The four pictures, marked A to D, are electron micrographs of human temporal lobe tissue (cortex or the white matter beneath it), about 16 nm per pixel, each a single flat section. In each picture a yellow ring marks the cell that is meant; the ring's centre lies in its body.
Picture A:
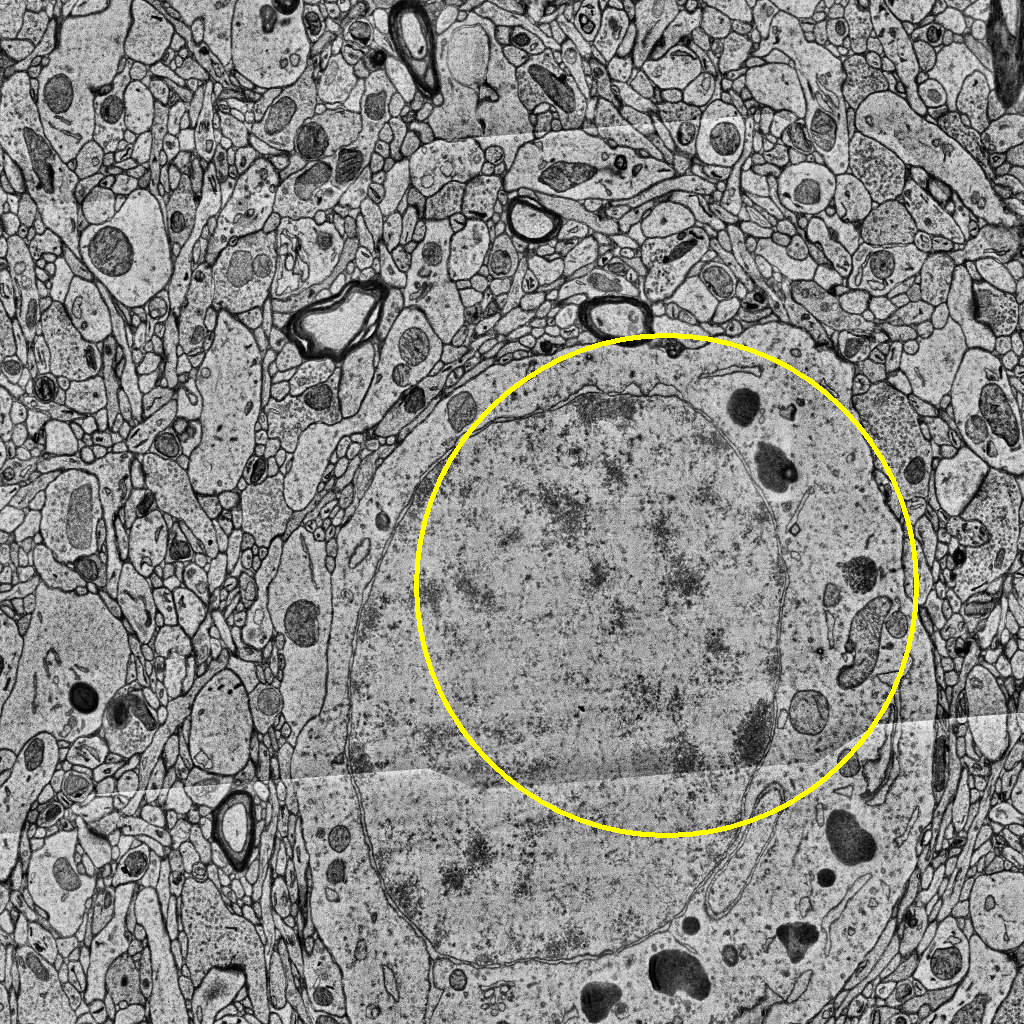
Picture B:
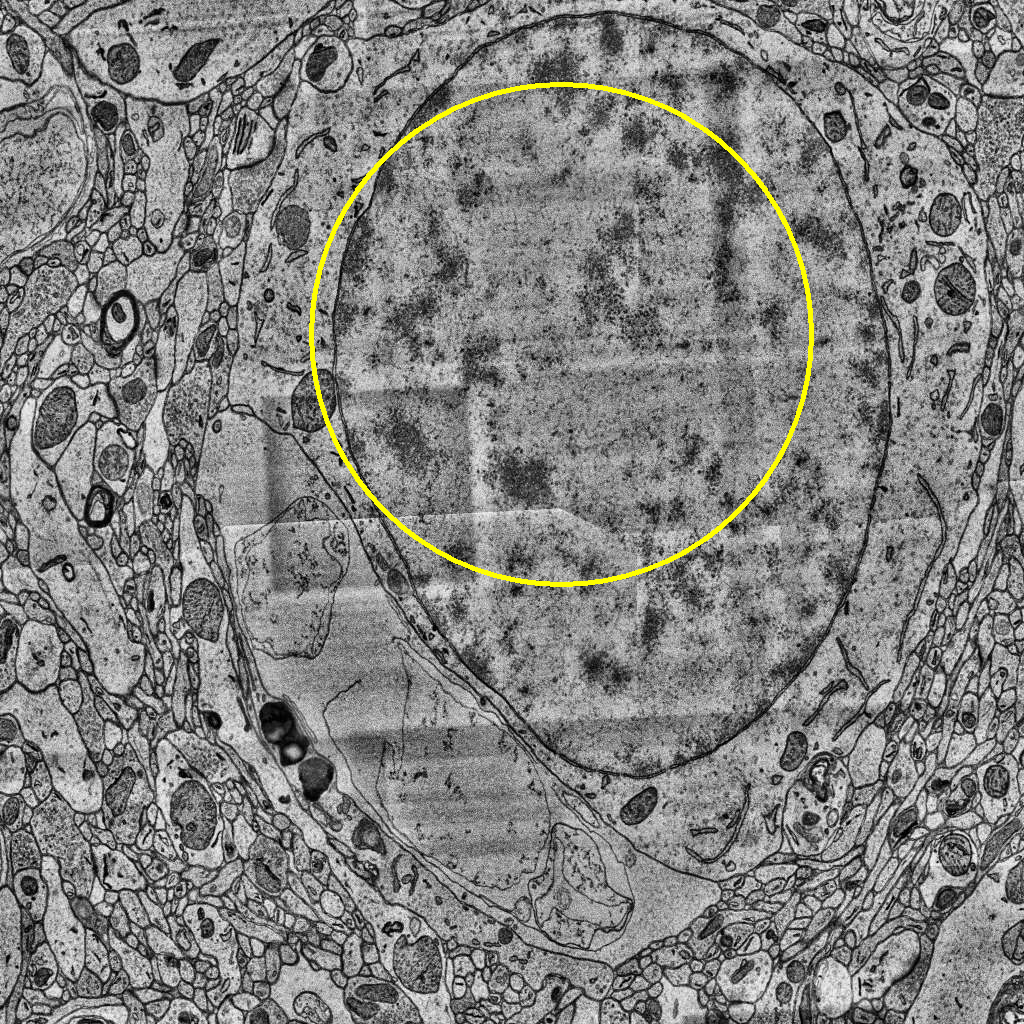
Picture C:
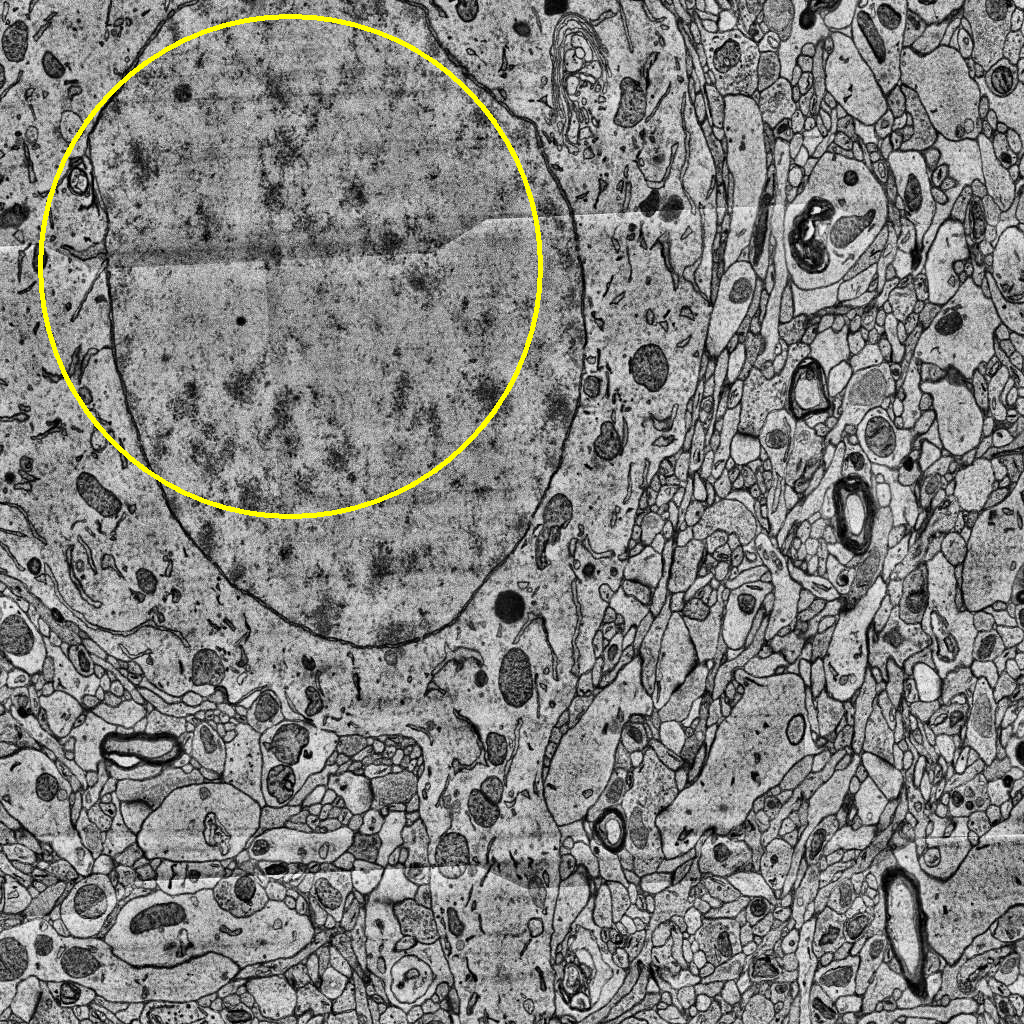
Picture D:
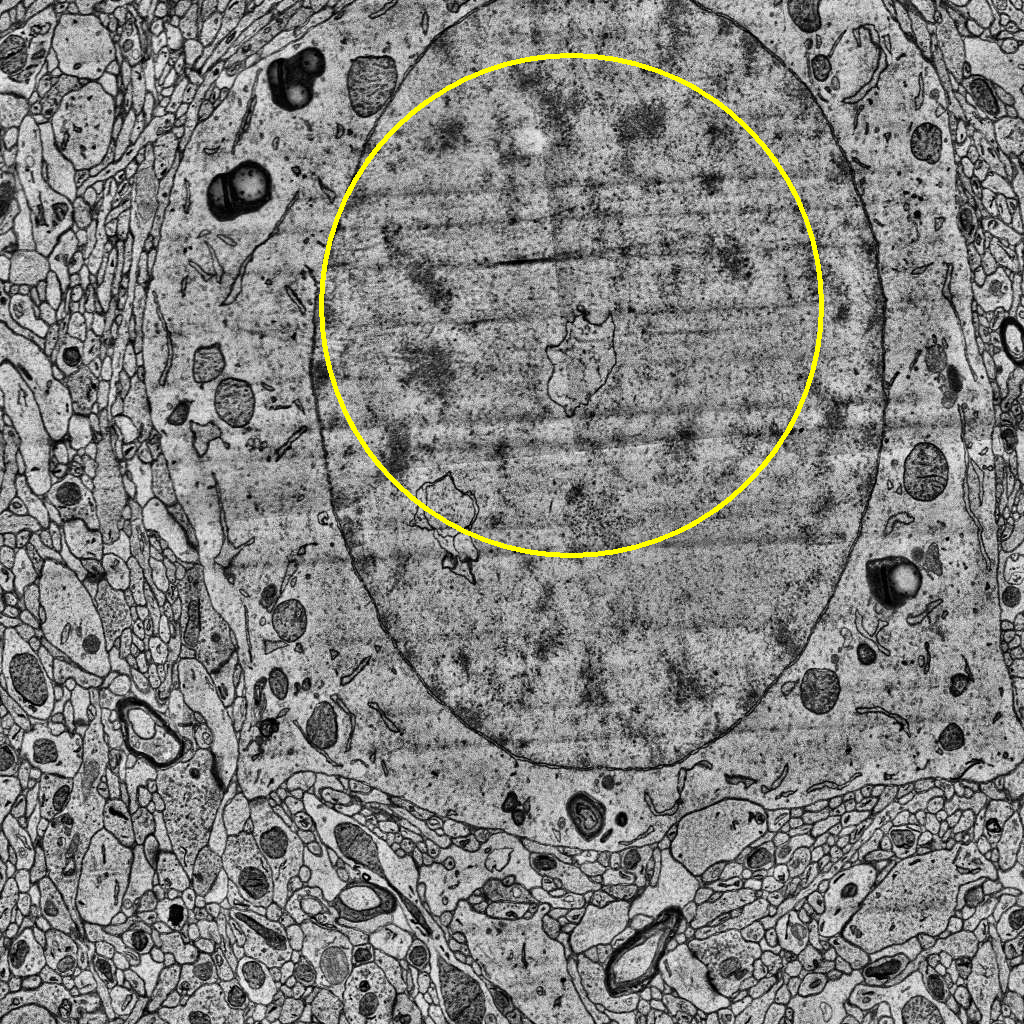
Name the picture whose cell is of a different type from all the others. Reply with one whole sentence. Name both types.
Unlike the rest, which show pyramidal neurons, picture A shows an interneuron.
